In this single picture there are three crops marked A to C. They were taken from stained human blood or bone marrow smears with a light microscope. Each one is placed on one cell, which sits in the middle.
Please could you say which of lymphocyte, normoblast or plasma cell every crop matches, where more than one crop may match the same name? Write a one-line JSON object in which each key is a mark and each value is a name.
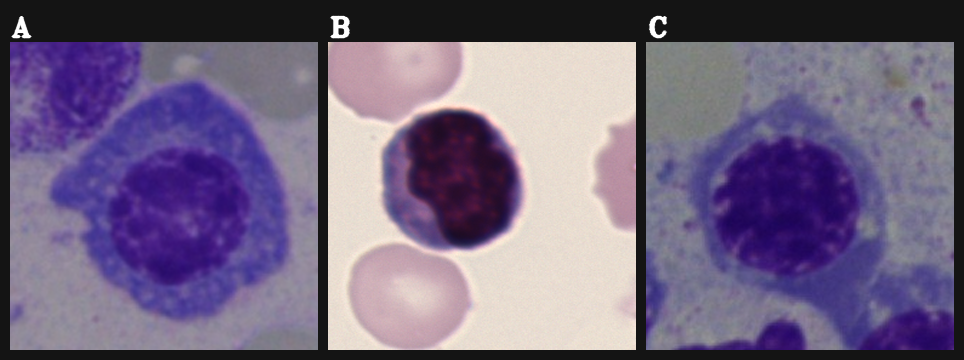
{"A": "plasma cell", "B": "lymphocyte", "C": "normoblast"}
